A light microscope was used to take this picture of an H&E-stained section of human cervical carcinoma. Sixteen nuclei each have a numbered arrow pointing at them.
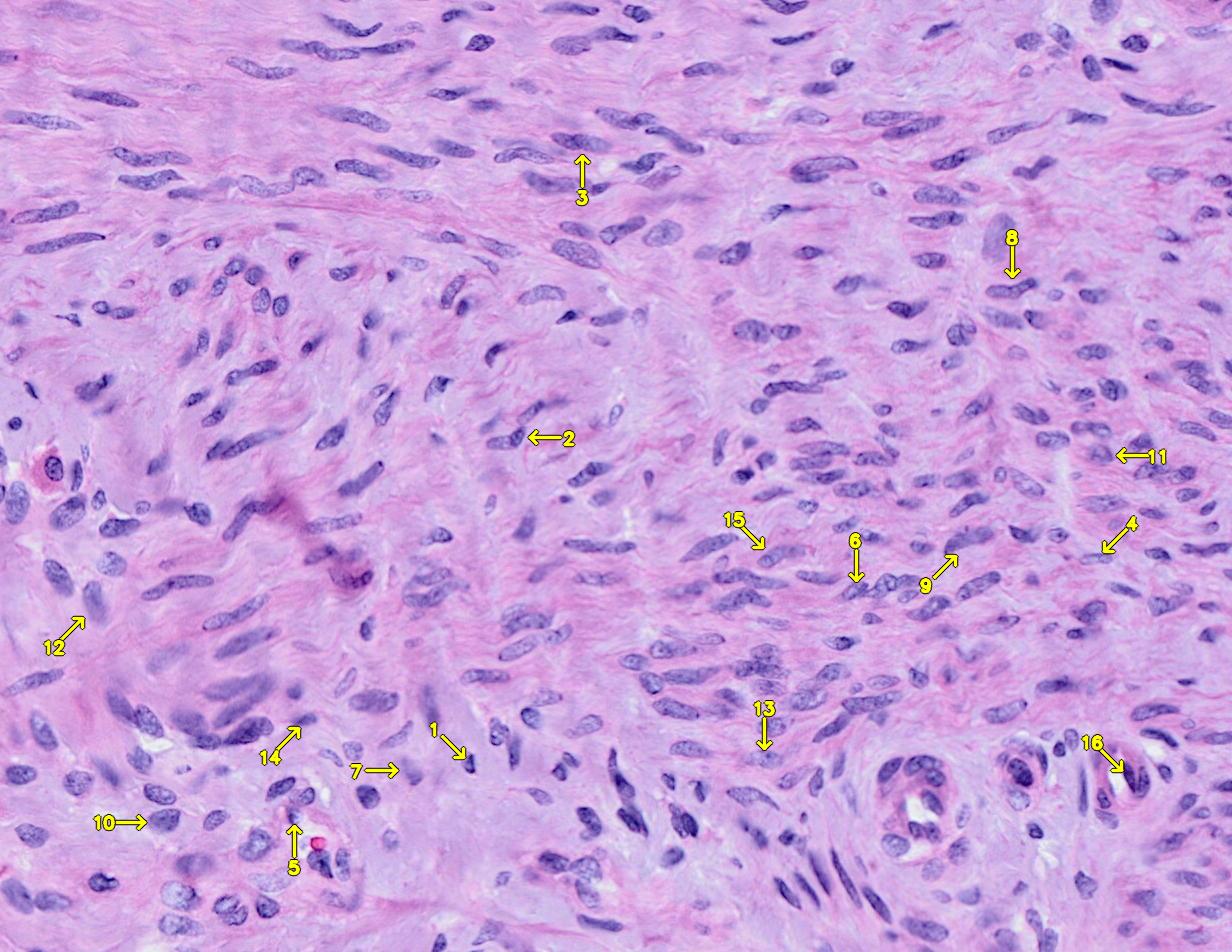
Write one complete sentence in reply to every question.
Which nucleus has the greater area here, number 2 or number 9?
Nucleus 9 covers more area, about 3 times as much as nucleus 2.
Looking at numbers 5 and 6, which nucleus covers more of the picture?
Nucleus 6 is the larger one, covering about 2 times the area of nucleus 5.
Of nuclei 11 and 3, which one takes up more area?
At about 1.5 times the area of nucleus 11, nucleus 3 is the larger of the two.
